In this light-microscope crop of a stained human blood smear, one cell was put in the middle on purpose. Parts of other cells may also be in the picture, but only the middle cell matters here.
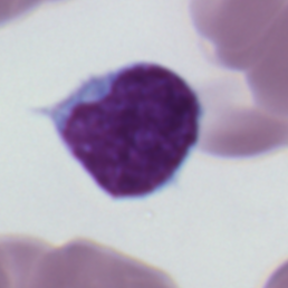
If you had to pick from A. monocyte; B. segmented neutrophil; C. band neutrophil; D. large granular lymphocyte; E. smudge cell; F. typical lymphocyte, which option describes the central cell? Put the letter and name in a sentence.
Option F correctly names the cell in the middle as a typical lymphocyte.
